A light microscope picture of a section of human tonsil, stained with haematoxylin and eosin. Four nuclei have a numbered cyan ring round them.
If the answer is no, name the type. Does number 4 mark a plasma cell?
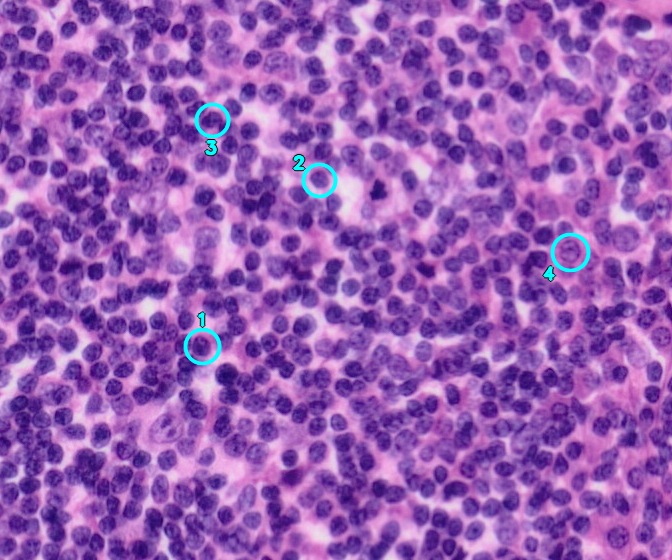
Yes.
